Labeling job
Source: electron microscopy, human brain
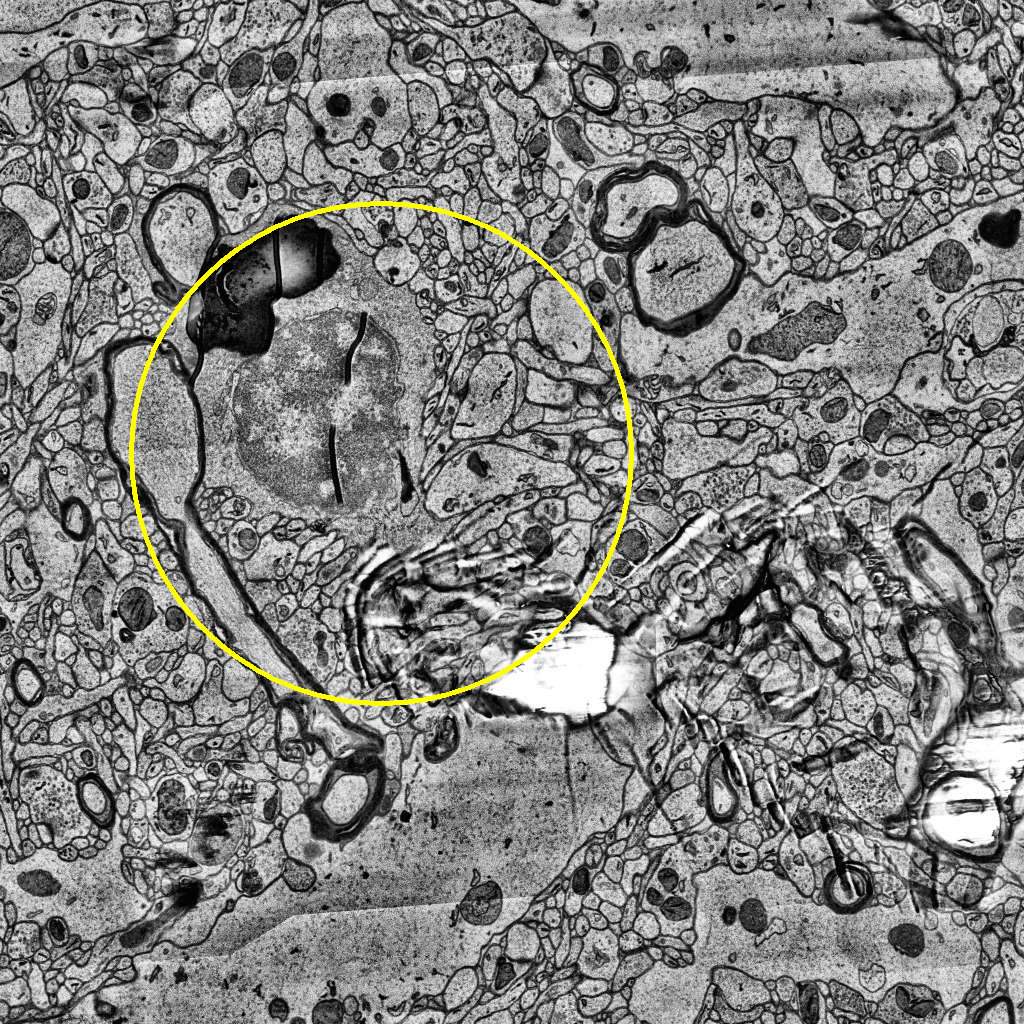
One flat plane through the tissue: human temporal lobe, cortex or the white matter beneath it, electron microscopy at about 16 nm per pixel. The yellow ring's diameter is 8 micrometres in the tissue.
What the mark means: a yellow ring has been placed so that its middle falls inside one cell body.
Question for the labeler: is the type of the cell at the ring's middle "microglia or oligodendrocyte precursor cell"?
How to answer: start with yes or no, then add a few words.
No, its type is another one.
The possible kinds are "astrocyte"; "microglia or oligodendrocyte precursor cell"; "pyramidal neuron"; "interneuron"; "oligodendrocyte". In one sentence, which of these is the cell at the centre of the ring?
The cell at the middle of the ring is an oligodendrocyte.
